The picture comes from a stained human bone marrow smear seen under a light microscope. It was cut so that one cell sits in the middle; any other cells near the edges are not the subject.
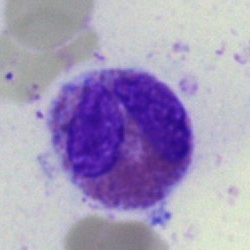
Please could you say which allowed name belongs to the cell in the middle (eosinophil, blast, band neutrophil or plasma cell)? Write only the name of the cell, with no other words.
eosinophil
